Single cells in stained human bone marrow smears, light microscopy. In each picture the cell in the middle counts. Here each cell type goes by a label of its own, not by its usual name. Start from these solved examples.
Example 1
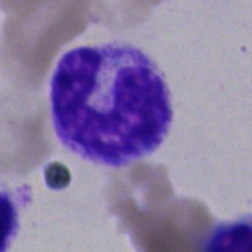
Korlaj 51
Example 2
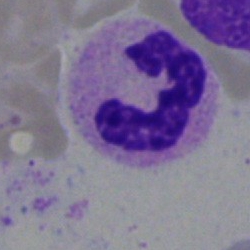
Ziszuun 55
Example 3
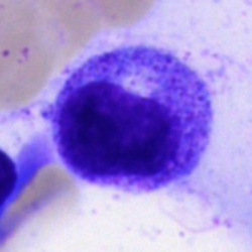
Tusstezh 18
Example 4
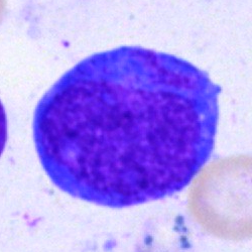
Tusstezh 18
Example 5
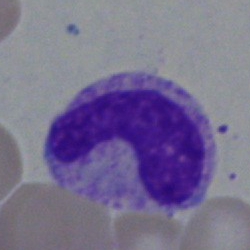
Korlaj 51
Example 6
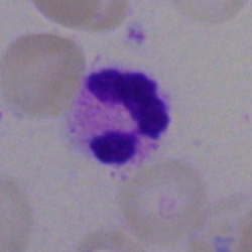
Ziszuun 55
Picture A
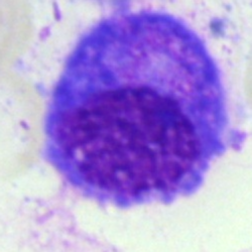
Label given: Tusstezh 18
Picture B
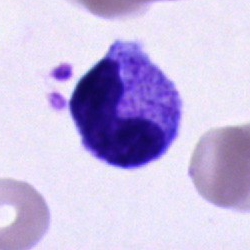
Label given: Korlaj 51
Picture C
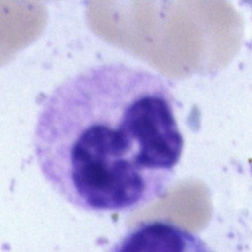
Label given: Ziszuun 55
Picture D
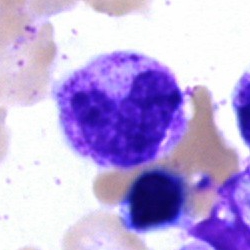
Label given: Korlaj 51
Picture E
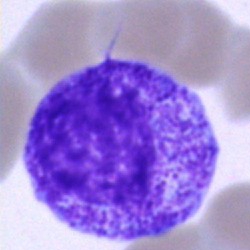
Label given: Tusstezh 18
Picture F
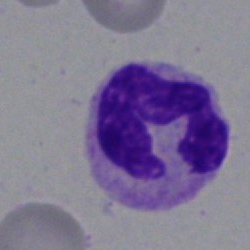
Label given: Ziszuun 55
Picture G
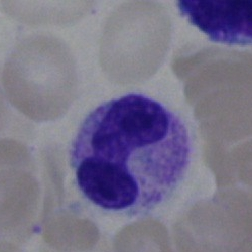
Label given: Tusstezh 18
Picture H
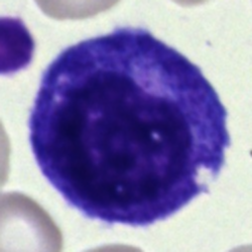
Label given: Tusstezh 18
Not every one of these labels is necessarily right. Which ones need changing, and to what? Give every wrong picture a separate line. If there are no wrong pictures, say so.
Wrong: G (Tusstezh 18); correct: Korlaj 51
